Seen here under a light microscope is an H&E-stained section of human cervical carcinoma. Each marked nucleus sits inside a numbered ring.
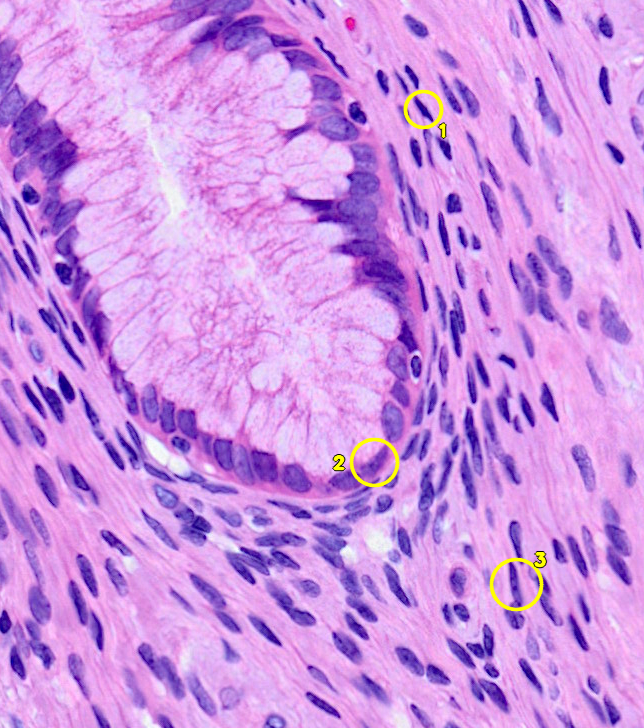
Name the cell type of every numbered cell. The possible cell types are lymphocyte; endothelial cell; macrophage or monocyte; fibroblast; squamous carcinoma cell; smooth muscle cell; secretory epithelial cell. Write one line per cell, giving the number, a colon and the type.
1: fibroblast
2: secretory epithelial cell
3: fibroblast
